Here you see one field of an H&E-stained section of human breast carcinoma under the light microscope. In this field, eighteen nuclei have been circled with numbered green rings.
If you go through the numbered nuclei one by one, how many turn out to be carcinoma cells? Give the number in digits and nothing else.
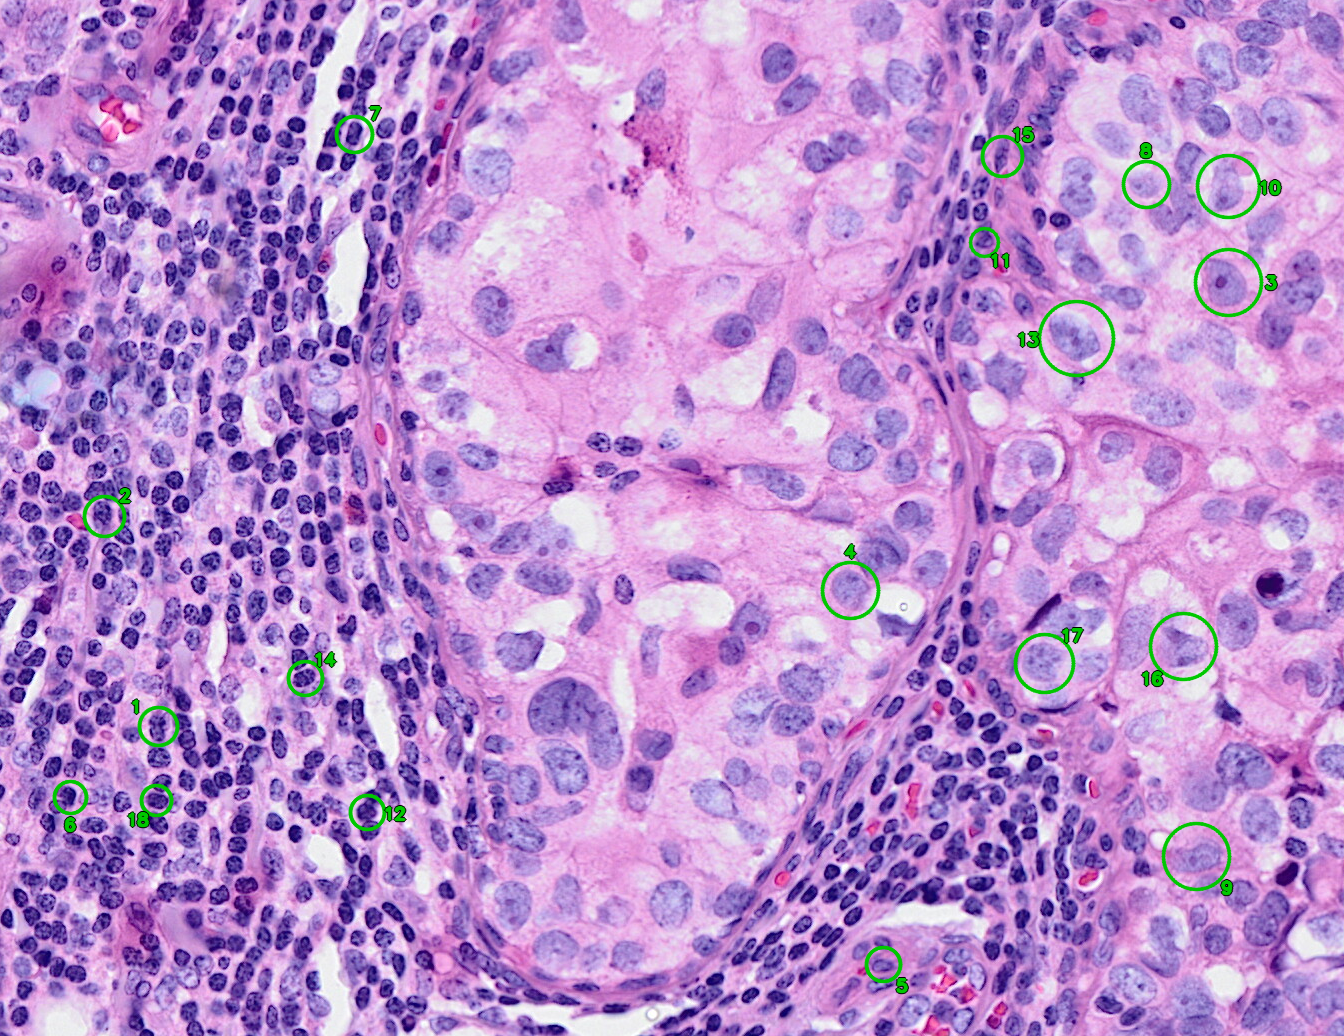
8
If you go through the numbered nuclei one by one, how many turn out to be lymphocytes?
7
